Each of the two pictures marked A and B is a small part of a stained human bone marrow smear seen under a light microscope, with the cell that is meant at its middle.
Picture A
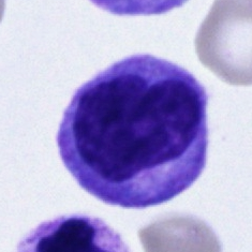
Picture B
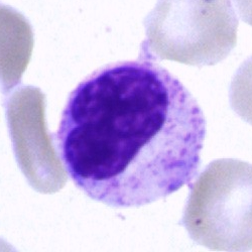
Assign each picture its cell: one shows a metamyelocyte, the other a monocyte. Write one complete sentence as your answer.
Picture A is of a monocyte, and picture B is of a metamyelocyte.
